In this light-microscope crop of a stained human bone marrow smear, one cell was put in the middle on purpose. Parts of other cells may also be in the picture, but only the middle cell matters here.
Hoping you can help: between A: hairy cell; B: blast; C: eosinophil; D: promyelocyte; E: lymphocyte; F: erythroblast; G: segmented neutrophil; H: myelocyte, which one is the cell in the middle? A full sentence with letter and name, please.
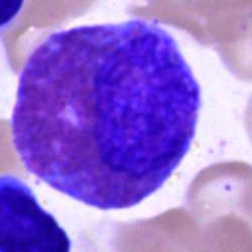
Option C is accurate; the centrally placed cell is an eosinophil.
